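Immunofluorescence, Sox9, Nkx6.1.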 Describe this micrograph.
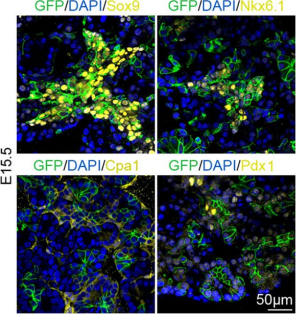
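Throughout every field, thin green lines trace the outlines of many cells, so the green marks the cell membranes and lets the outline of each cell be followed. In the upper left field, the yellow signal lies in the nuclei of cells that line a branching, cord-like strand of epithelium running through the tissue. In the upper right and lower right fields, the yellow nuclei are fewer and lie scattered among the green-outlined cells. In the lower left field, the yellow fills the cytoplasm of clustered cells rather than their nuclei. Many of the yellow cells are also ringed by green membranes, so the two colours overlap in the same cells.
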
